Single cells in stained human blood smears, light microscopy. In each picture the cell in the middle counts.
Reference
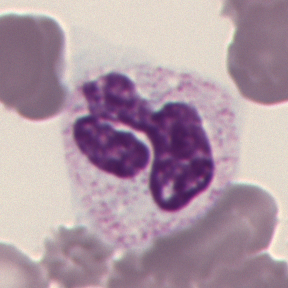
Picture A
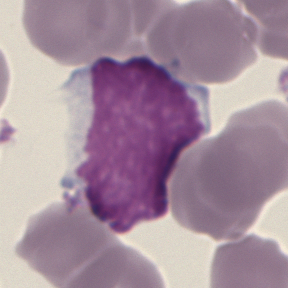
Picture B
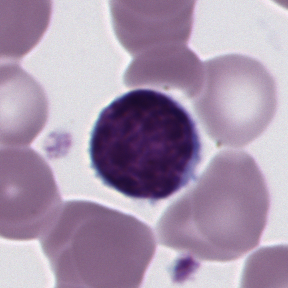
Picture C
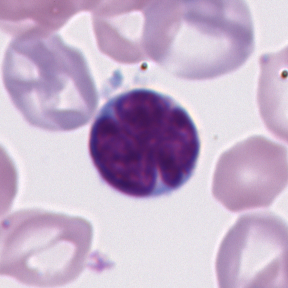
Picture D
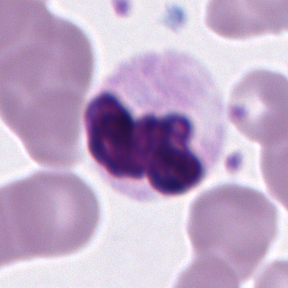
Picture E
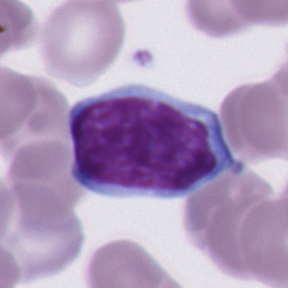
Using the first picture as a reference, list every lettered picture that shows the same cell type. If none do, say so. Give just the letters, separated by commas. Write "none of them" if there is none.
D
